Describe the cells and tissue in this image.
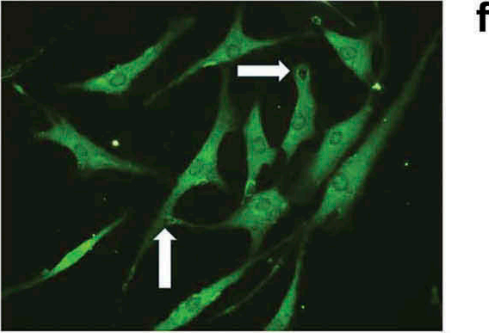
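Many elongated cells with long, thin processes extend across the field, their cytoplasm evenly green around darker oval nuclei. Some processes run long distances and touch other cells.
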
